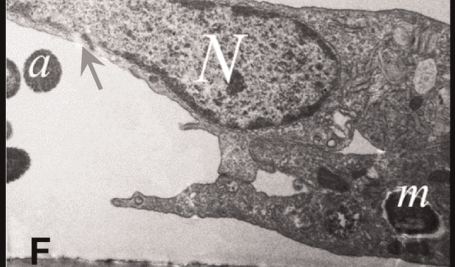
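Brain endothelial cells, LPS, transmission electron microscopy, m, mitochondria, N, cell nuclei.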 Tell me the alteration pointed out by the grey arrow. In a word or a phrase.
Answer: disruption of the plasma membrane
